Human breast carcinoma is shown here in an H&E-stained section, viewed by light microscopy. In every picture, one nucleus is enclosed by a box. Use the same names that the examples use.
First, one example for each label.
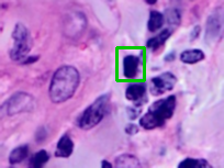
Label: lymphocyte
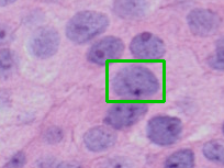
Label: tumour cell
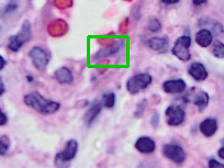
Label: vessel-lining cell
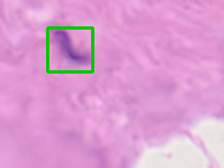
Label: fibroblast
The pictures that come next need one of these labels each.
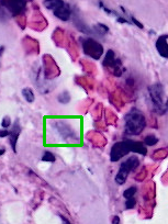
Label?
vessel-lining cell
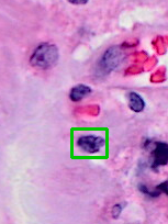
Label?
lymphocyte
